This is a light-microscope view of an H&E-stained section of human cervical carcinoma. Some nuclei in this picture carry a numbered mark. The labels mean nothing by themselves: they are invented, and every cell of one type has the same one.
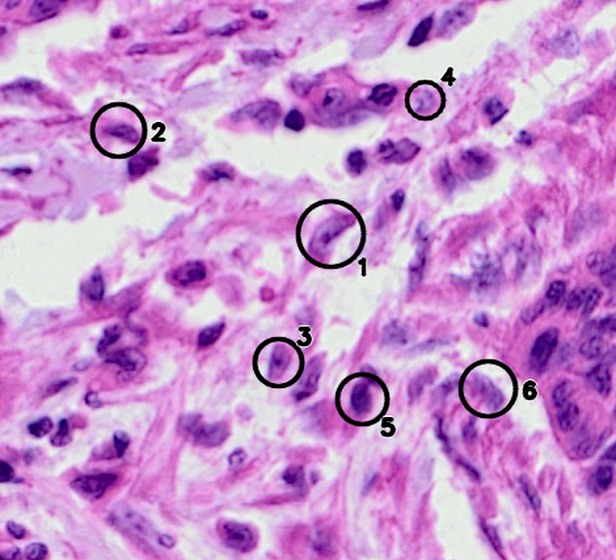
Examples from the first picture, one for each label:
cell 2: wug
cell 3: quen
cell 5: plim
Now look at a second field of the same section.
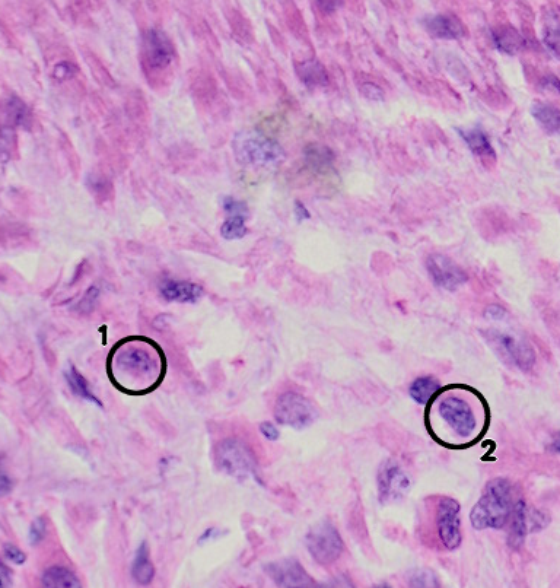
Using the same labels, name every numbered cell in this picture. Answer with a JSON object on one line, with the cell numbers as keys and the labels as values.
{"1": "wug", "2": "plim"}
